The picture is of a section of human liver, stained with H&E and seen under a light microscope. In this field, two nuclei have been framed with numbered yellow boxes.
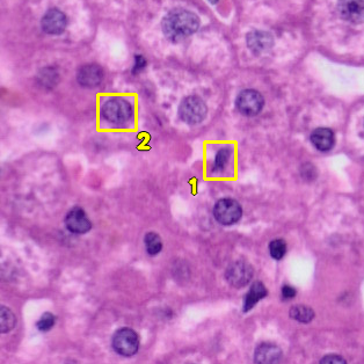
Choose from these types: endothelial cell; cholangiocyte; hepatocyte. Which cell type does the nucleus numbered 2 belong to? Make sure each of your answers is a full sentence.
Belonging to a hepatocyte is the nucleus that carries the number 2.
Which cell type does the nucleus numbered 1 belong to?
Corresponding to an endothelial cell is the cell labelled 1.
